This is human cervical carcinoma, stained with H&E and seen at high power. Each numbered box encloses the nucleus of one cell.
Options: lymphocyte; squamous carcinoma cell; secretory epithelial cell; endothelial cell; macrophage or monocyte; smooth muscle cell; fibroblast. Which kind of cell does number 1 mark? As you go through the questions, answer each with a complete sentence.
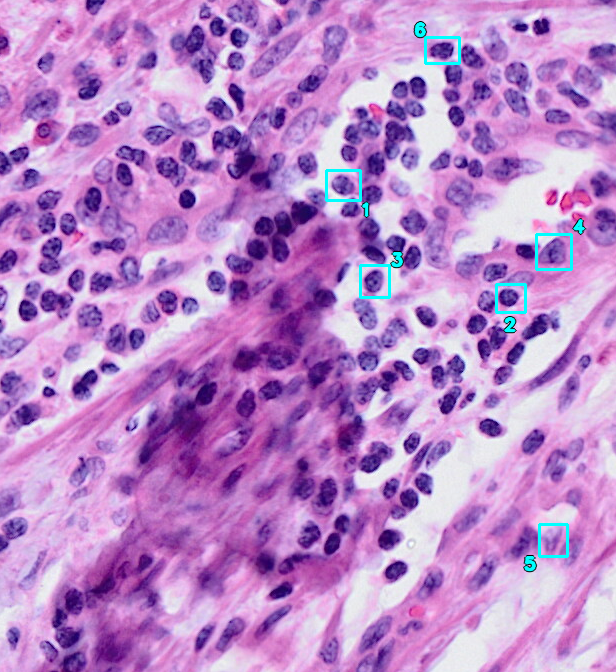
Within this field of view, the cell labelled 1 is a lymphocyte.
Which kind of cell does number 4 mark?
The cell given label 4 is an endothelial cell.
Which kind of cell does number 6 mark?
Heads up, the cell numbered 6 is a lymphocyte.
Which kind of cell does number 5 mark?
The cell referenced by the number 5 is an endothelial cell in this field.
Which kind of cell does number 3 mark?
That cell with number 3 is a lymphocyte.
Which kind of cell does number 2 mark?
At number 2, the marked cell is a lymphocyte.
